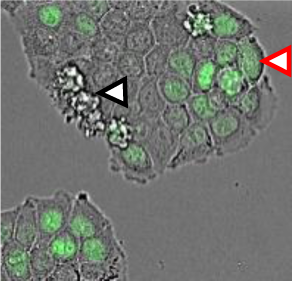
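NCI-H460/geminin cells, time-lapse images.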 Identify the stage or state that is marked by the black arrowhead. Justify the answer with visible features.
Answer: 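The marked cells are broken up into many small bright refractile blebs. The fragmented cells lie at the edge of an otherwise intact, tightly packed colony. That points to this answer: dying.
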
